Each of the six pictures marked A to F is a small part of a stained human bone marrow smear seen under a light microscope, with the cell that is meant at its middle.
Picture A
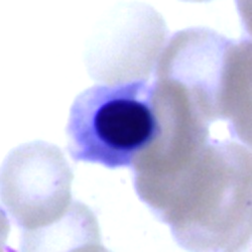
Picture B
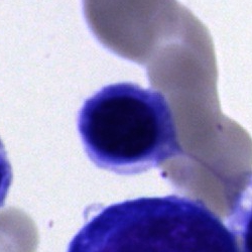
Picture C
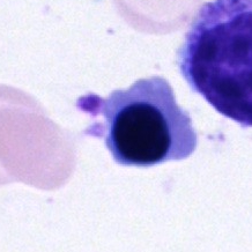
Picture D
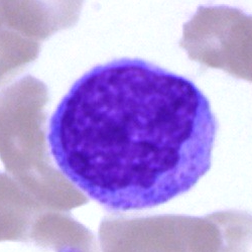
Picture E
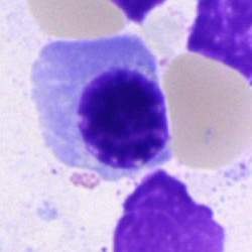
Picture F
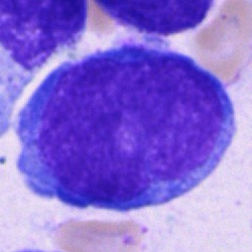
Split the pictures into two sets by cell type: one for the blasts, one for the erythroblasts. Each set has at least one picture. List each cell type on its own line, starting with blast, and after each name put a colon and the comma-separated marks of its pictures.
blast: D, F
erythroblast: A, B, C, E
